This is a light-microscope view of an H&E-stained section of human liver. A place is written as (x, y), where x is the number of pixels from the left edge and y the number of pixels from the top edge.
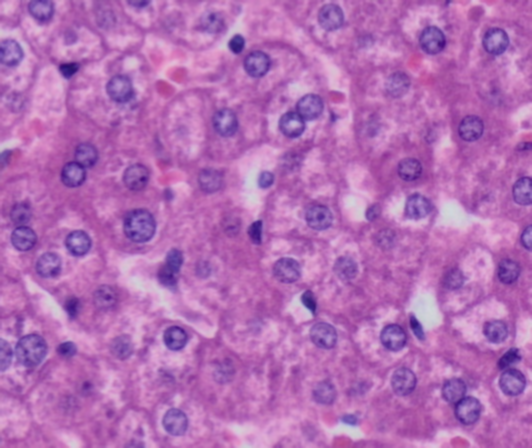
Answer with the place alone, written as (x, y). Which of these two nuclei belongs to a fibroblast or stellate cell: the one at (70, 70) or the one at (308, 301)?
(70, 70)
